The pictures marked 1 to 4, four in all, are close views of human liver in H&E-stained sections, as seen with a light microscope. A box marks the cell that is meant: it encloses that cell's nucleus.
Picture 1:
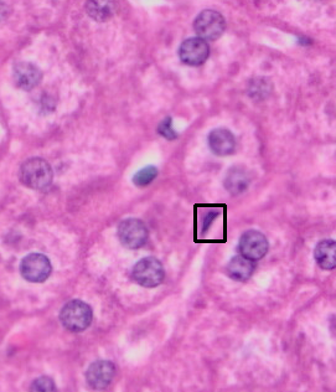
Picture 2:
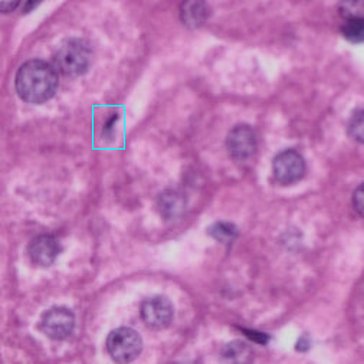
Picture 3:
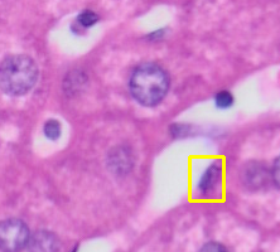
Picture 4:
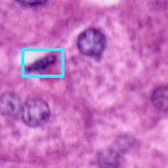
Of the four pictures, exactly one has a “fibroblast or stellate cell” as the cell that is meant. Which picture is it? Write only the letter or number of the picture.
1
